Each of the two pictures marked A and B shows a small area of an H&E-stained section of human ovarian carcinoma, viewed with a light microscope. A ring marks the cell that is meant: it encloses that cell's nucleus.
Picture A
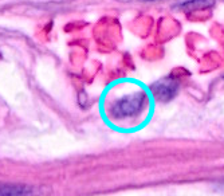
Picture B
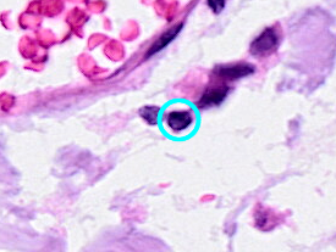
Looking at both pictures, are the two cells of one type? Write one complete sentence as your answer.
No, the types are not the same, since picture A shows an endothelial cell and picture B a lymphocyte.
